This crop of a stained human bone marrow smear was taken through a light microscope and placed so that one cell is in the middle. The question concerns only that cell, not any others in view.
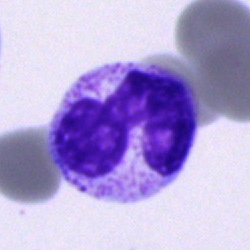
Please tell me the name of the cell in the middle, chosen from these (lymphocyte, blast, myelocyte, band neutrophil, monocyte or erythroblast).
band neutrophil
